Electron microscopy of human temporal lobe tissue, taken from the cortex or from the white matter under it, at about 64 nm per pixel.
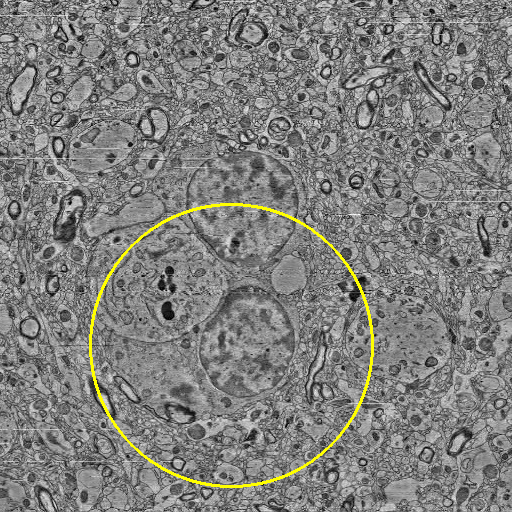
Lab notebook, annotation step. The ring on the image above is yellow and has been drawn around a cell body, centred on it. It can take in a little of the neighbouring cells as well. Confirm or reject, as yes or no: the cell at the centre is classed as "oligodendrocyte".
Yes, confirmed for that class.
